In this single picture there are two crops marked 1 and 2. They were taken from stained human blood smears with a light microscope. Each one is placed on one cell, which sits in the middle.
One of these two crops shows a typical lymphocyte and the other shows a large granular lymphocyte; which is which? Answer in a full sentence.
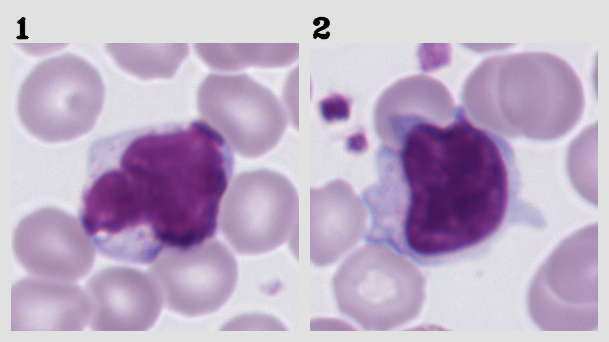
Crop 1 contains a large granular lymphocyte, and crop 2, a typical lymphocyte.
